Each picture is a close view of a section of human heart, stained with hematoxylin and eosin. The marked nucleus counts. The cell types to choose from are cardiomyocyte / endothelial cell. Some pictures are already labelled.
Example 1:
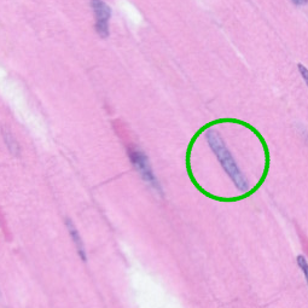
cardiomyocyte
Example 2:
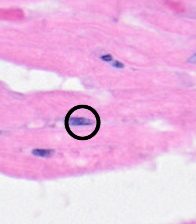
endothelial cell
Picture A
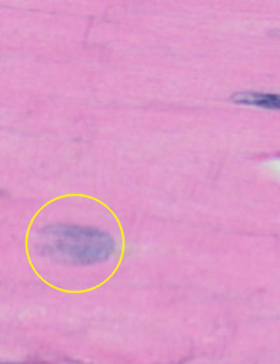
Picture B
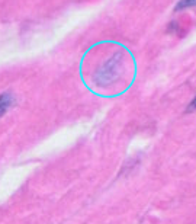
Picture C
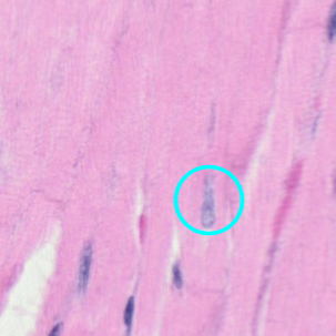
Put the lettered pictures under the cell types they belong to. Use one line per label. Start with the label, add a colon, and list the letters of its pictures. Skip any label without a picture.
cardiomyocyte: A, B, C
